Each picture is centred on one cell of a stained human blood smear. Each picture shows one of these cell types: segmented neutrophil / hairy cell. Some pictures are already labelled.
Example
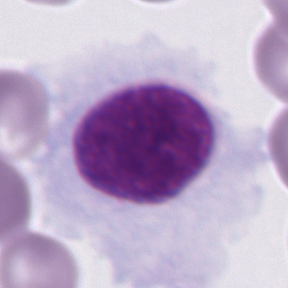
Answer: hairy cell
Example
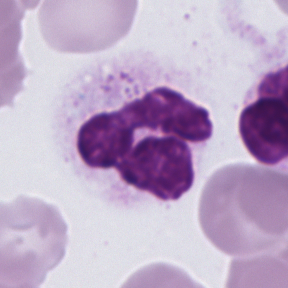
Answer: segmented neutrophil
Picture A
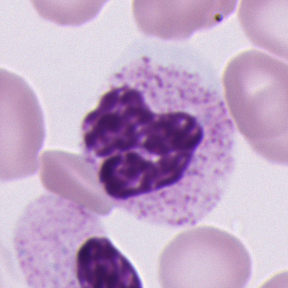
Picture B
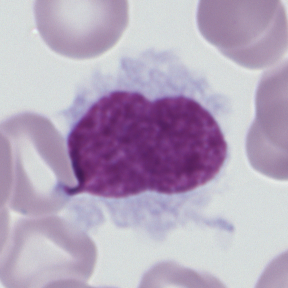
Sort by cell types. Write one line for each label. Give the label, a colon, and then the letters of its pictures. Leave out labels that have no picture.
segmented neutrophil: A
hairy cell: B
